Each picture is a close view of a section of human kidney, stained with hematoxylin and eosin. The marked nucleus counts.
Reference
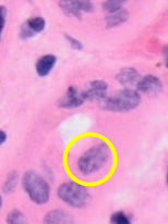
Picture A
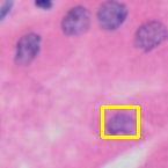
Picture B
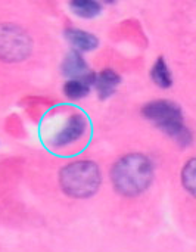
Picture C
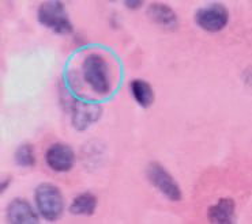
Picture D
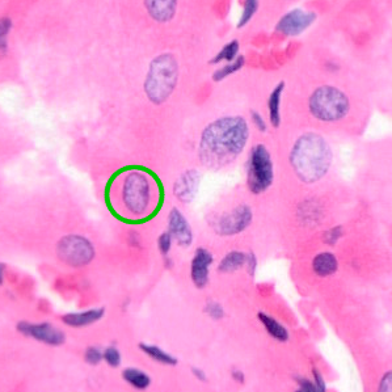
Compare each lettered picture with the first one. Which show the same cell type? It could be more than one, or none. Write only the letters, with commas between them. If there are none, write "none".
C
